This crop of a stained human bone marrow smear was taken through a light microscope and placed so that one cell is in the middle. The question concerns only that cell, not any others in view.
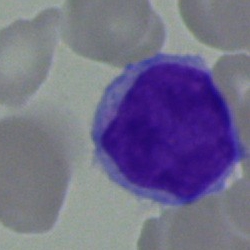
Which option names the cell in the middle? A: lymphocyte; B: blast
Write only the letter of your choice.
A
